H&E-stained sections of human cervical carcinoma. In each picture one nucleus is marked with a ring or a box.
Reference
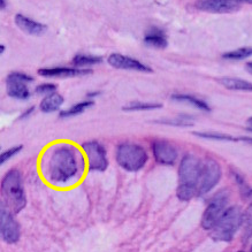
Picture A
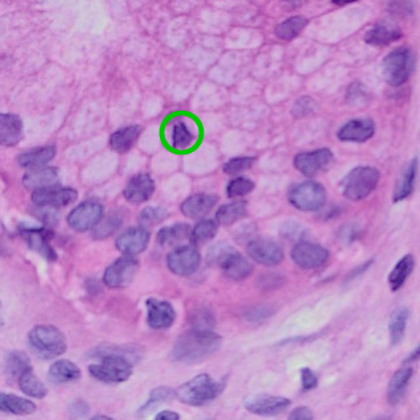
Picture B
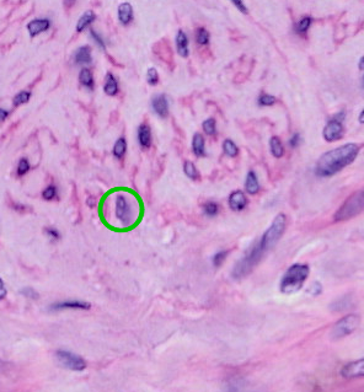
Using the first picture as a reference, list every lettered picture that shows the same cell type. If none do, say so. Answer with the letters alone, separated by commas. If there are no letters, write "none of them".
A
